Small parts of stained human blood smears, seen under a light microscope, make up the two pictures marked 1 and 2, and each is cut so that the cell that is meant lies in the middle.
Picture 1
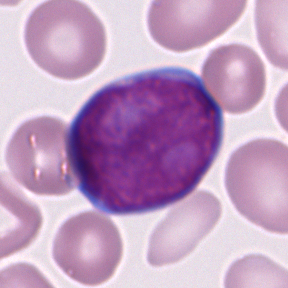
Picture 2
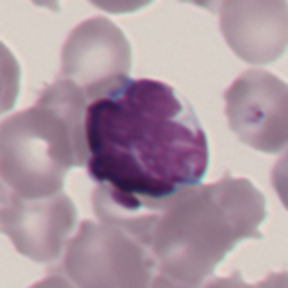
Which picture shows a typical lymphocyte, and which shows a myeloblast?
1: myeloblast
2: typical lymphocyte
